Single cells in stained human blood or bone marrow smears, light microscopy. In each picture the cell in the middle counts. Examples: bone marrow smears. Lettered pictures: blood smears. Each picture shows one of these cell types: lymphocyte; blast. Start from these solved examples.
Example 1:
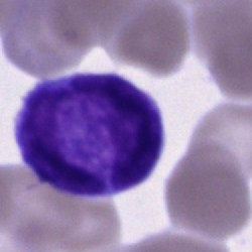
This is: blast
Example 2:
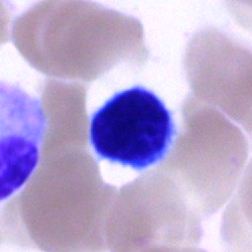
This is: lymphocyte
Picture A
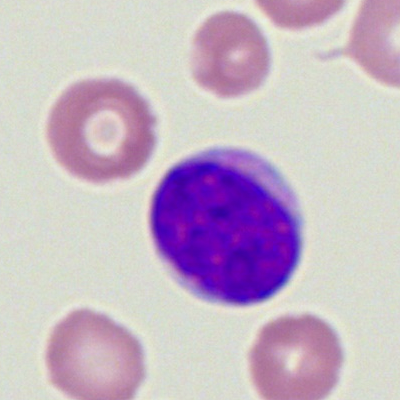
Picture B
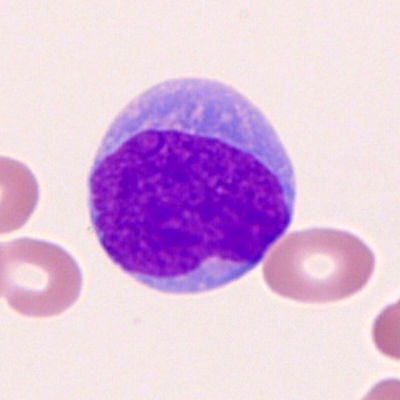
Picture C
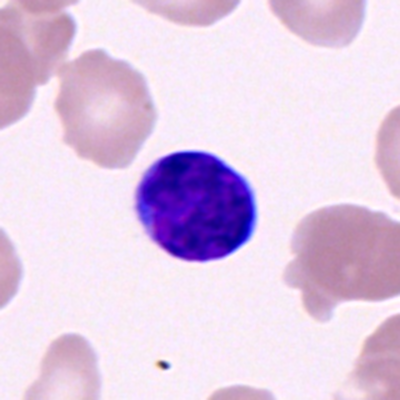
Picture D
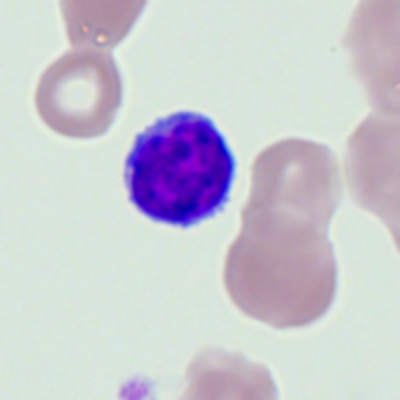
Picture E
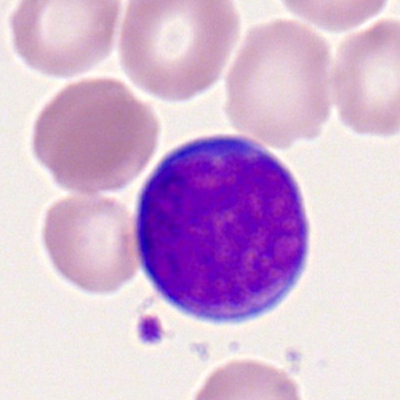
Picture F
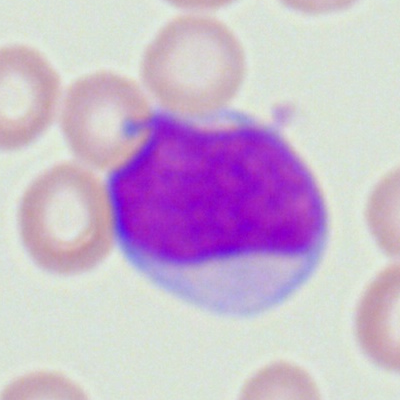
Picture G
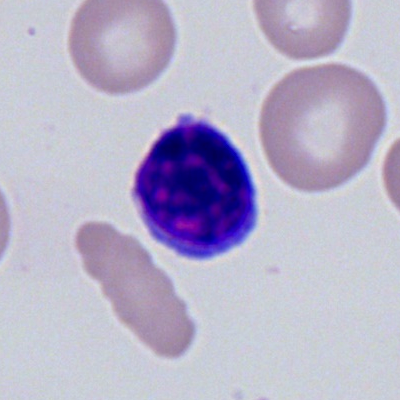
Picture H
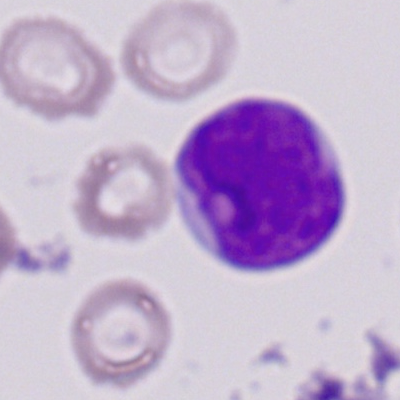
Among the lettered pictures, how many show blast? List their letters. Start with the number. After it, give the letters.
4: B, E, F, H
